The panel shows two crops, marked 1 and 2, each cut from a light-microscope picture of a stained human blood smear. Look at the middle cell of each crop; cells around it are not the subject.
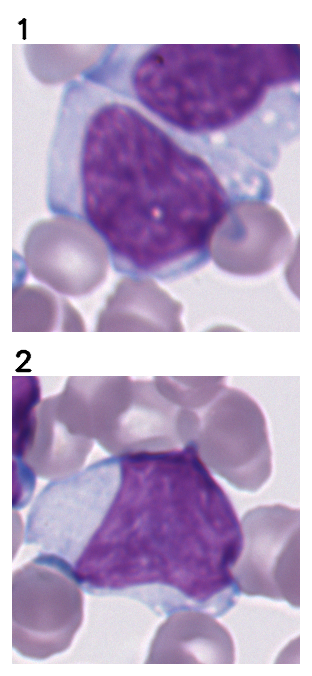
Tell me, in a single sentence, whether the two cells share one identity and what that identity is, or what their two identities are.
Yes, both crops are centred on cells that are myeloblasts.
